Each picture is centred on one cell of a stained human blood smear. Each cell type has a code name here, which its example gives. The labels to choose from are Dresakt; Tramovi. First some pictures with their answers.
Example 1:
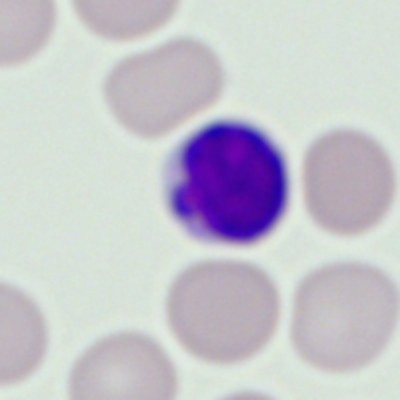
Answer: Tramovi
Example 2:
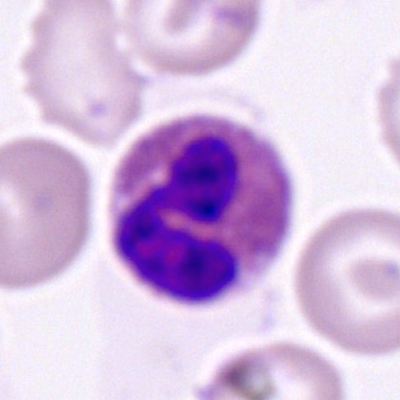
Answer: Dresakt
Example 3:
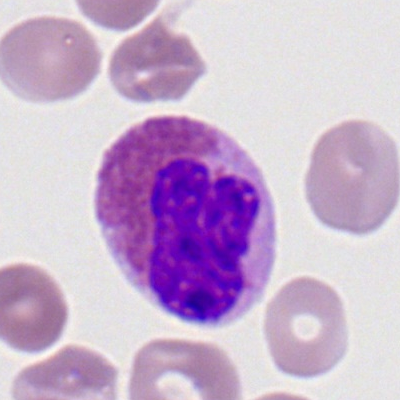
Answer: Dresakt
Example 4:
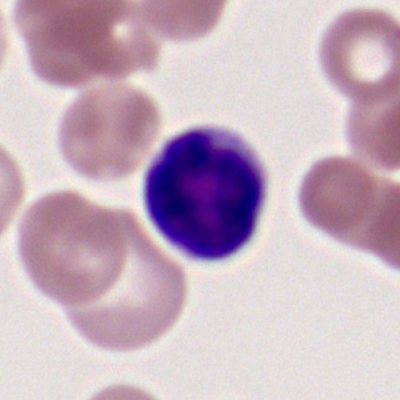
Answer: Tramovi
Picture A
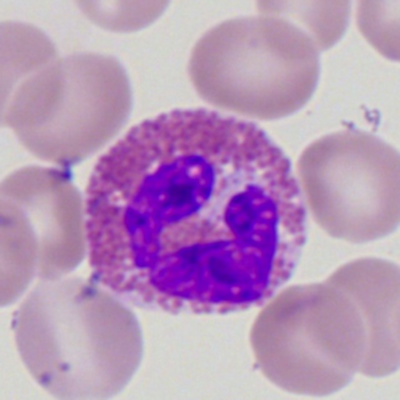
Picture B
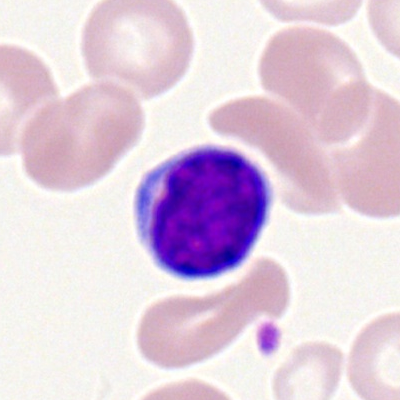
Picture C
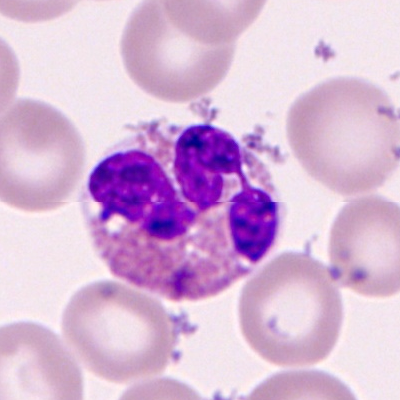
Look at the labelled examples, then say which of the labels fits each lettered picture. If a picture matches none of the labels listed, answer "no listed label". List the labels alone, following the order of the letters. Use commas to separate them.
Dresakt, Tramovi, Dresakt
